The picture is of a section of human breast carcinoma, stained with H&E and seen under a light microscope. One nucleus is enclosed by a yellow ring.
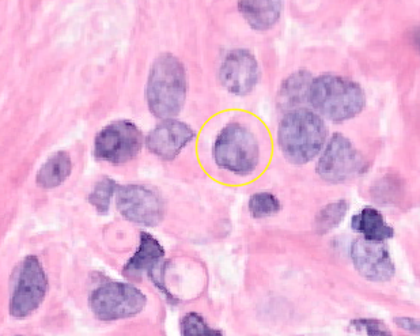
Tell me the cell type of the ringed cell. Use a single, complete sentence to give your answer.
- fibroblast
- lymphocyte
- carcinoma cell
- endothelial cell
In the stained section, the ringed cell is a carcinoma cell.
